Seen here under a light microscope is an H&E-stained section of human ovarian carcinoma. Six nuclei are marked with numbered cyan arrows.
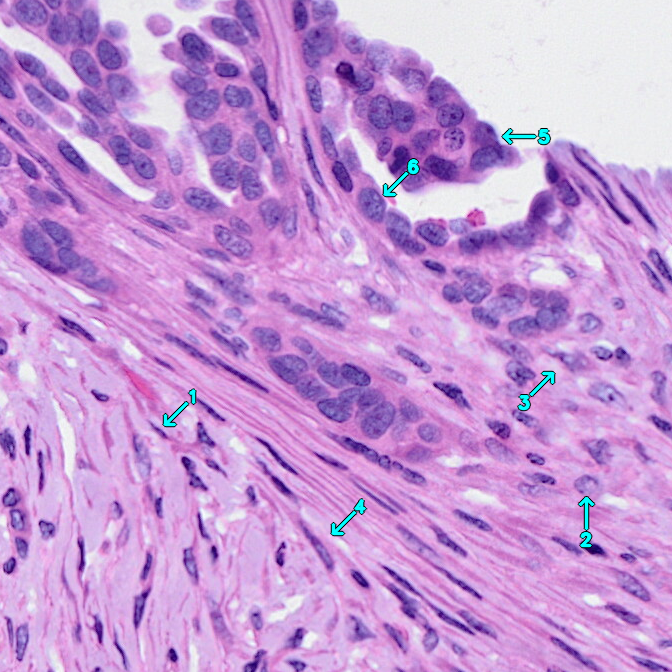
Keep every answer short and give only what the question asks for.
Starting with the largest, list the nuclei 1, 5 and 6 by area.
6, 5, 1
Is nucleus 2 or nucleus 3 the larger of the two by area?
3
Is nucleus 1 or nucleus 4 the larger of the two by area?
4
